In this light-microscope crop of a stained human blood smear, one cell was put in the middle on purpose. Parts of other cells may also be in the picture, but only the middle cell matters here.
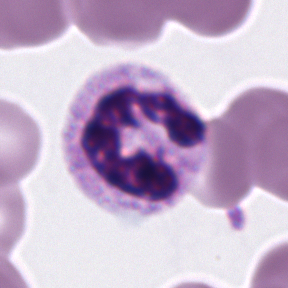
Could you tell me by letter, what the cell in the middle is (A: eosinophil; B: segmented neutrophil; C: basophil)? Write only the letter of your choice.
B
